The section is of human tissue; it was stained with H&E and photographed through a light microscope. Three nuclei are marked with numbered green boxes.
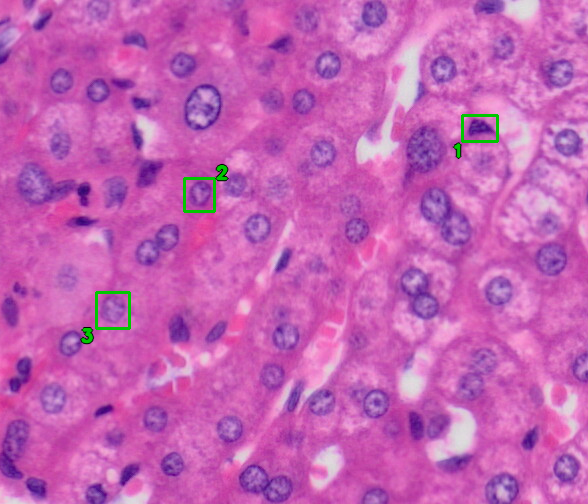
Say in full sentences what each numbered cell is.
Cell 1 is a fibroblast or stellate cell. Cells 2 and 3 are hepatocytes.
